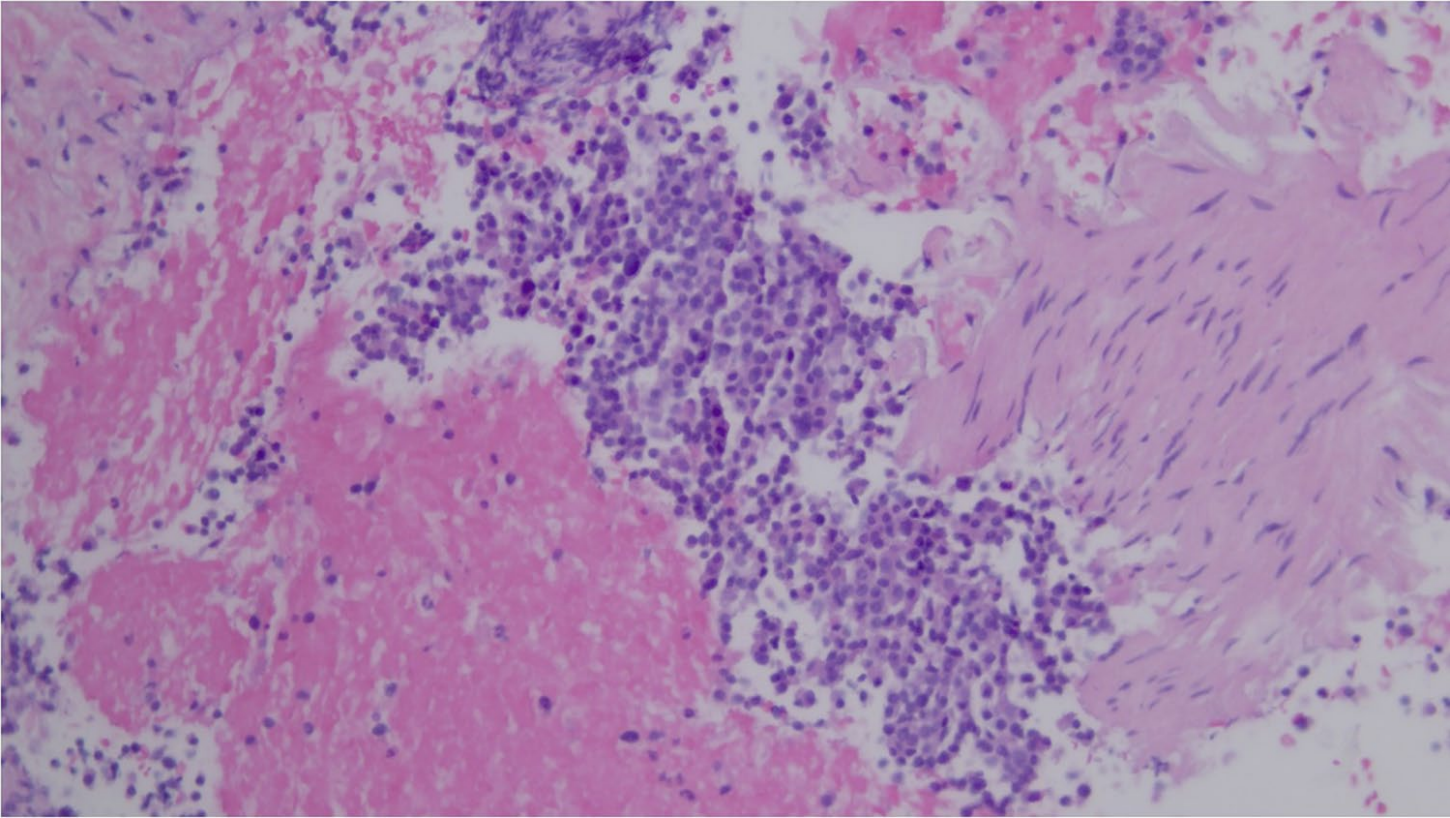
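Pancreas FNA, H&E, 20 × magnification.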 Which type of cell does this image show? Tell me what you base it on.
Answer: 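A central, loosely cohesive sheet of many small cells. The cells and their round nuclei are of nearly uniform size and shape. The cells crowd together, unlike the sparse cells in the surrounding pink material. So: monotonous neoplastic cells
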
